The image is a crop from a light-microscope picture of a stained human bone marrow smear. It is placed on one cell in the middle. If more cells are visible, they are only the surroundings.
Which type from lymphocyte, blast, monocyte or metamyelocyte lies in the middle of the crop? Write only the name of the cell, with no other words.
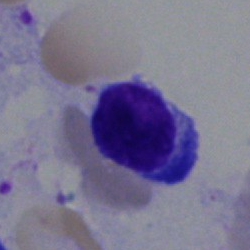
lymphocyte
